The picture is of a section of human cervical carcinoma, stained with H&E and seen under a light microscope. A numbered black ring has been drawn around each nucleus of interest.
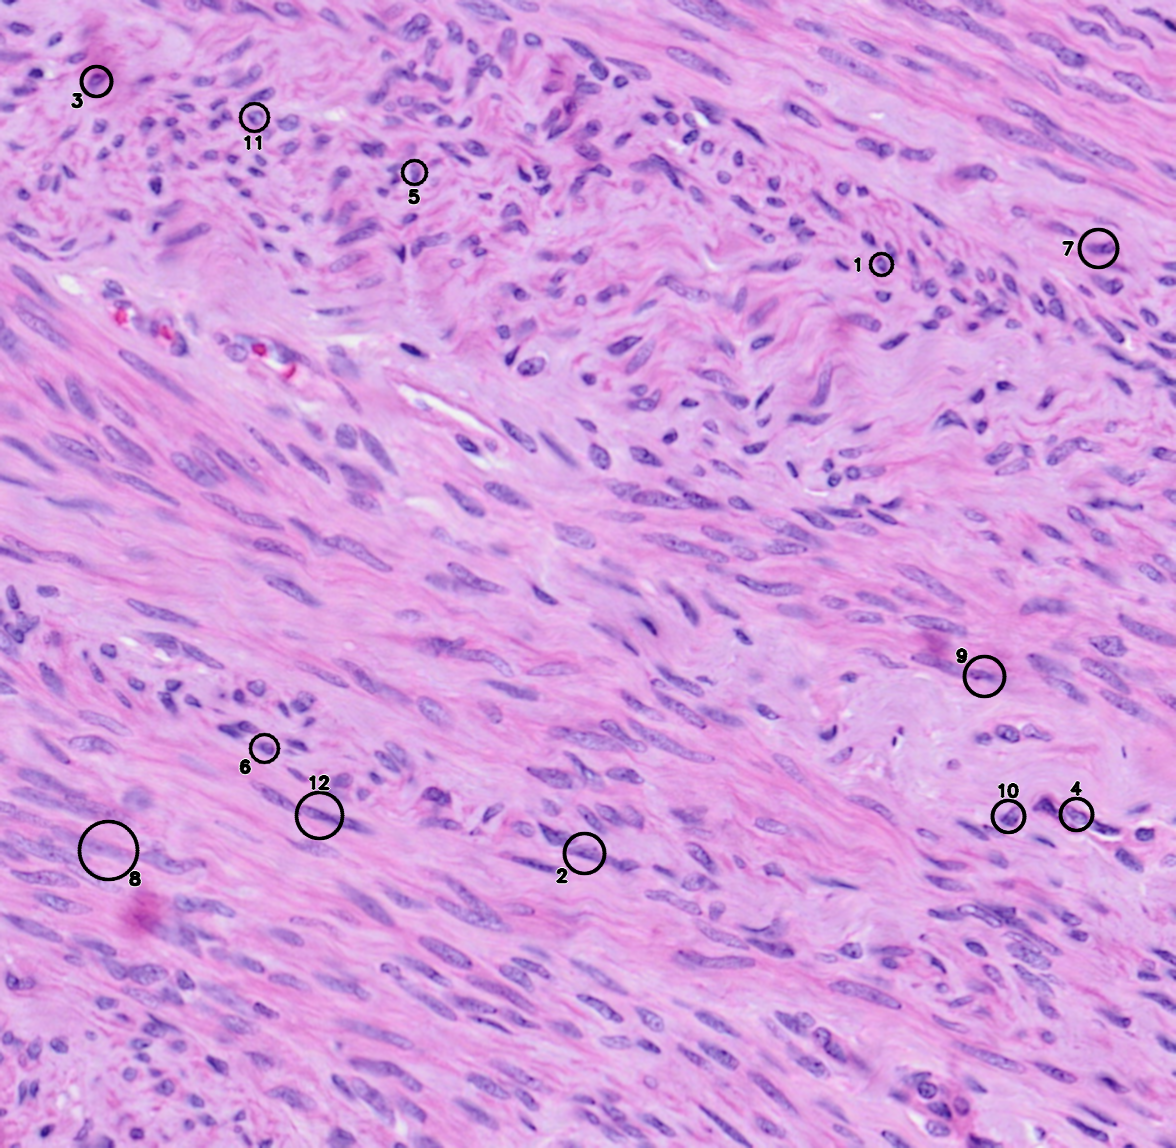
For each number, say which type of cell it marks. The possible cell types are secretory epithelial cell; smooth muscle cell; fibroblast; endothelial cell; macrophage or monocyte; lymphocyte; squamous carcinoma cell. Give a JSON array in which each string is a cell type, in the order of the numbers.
["smooth muscle cell", "fibroblast", "smooth muscle cell", "endothelial cell", "smooth muscle cell", "fibroblast", "smooth muscle cell", "smooth muscle cell", "smooth muscle cell", "fibroblast", "smooth muscle cell", "fibroblast"]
